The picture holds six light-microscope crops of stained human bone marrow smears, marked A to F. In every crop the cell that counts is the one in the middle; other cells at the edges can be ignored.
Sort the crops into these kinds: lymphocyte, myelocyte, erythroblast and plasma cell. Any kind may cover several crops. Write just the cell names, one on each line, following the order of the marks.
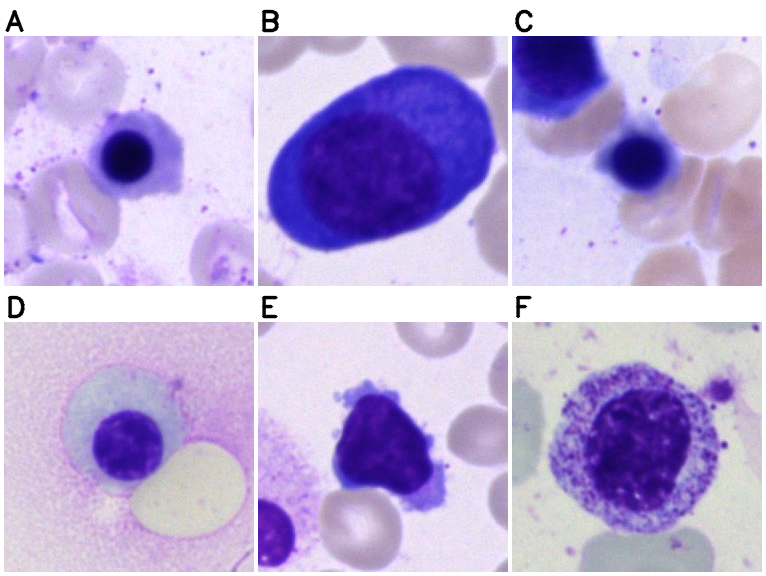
erythroblast
plasma cell
erythroblast
erythroblast
lymphocyte
myelocyte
